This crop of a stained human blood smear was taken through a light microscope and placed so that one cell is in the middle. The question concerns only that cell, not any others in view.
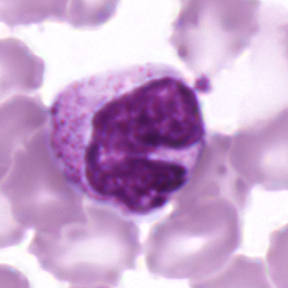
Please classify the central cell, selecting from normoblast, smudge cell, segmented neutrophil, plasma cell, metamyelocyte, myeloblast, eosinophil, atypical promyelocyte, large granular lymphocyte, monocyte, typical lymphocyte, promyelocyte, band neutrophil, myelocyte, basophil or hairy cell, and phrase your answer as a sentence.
The cell that lies at the centre of the crop is a band neutrophil.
